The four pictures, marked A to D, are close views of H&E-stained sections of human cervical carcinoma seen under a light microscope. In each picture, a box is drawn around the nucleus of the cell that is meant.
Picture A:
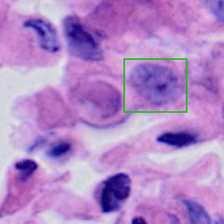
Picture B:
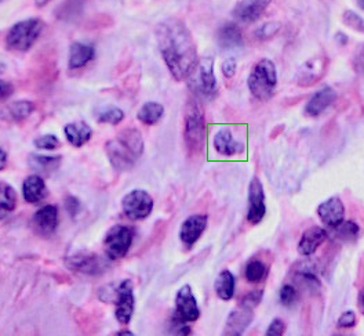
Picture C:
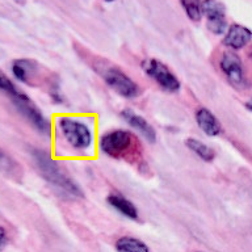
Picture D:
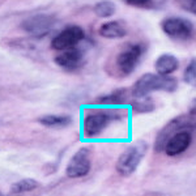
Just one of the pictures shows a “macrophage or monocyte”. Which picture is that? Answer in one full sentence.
The cell in picture A is the “macrophage or monocyte”.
